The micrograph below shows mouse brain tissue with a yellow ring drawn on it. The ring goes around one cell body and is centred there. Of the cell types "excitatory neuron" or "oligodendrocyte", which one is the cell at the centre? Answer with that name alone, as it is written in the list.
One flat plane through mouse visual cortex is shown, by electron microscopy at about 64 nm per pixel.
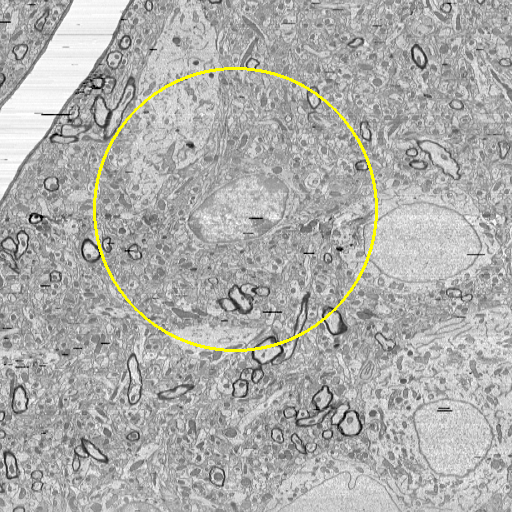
oligodendrocyte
